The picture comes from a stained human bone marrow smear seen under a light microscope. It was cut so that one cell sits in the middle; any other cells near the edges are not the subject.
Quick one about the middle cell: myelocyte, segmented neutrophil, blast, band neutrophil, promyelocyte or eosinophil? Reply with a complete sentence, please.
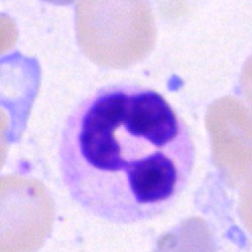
As for the cell in the middle, it is a segmented neutrophil.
